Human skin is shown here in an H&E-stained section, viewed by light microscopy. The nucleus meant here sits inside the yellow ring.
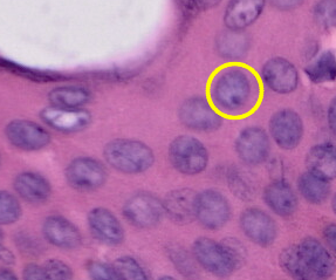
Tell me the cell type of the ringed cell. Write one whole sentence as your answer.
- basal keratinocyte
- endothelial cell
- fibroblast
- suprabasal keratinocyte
In short, the ringed cell on this section is a suprabasal keratinocyte.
